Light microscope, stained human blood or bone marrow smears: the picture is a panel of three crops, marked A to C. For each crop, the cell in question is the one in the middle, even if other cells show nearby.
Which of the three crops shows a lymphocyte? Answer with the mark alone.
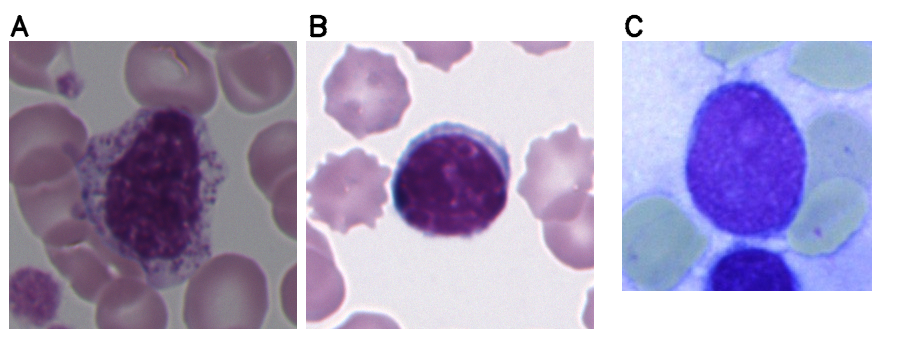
B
